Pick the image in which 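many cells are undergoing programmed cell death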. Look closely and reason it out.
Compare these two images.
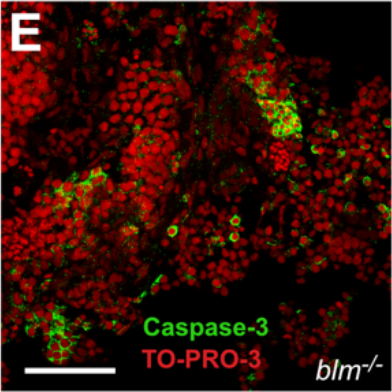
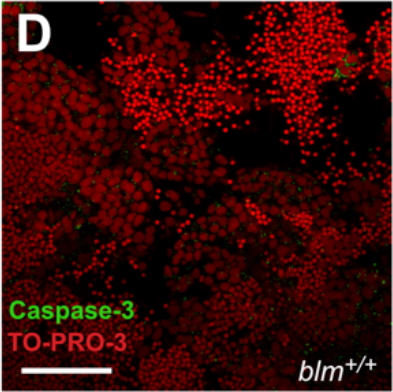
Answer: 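First image: several patches of green-rimmed cells among the red nuclei. Second image: almost no green, only red nuclei. The answer: the first image.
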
